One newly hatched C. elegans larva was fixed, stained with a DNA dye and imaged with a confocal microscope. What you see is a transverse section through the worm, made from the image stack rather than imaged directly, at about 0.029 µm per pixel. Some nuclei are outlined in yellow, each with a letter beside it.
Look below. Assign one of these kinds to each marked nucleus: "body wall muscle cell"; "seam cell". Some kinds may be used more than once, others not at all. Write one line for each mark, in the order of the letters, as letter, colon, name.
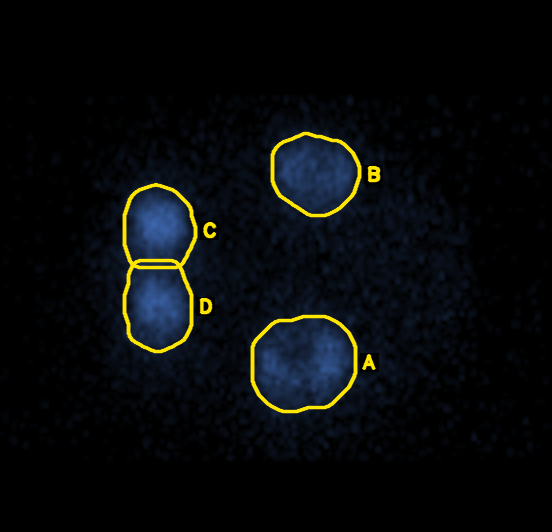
A: seam cell
B: seam cell
C: body wall muscle cell
D: body wall muscle cell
